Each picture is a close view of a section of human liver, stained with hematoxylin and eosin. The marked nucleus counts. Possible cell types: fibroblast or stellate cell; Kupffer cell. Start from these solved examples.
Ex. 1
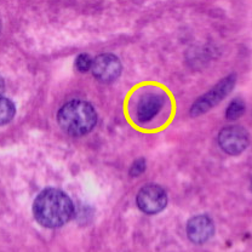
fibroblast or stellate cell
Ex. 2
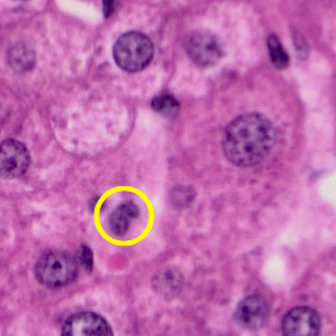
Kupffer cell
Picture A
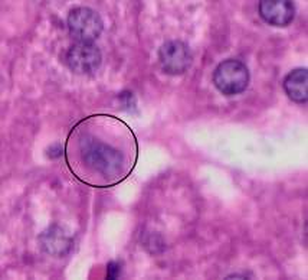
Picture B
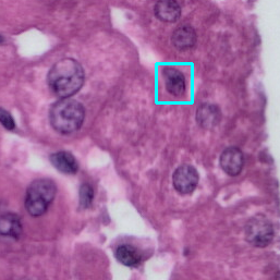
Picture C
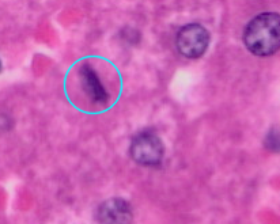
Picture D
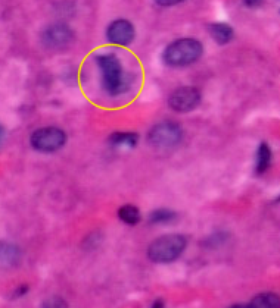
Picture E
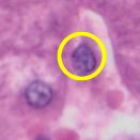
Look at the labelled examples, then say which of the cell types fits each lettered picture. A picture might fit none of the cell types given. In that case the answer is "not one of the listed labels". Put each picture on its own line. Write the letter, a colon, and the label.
A: Kupffer cell
B: Kupffer cell
C: fibroblast or stellate cell
D: fibroblast or stellate cell
E: Kupffer cell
